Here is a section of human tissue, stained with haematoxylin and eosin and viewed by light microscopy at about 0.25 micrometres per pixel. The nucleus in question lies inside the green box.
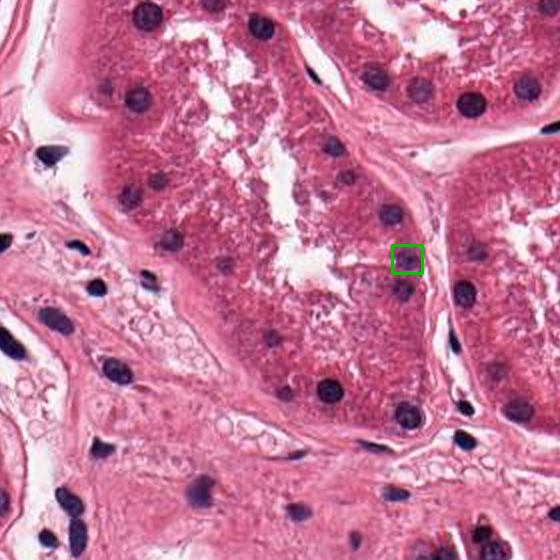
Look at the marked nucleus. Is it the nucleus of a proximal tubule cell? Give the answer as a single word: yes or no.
yes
